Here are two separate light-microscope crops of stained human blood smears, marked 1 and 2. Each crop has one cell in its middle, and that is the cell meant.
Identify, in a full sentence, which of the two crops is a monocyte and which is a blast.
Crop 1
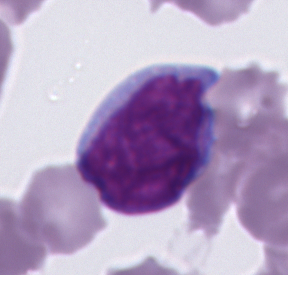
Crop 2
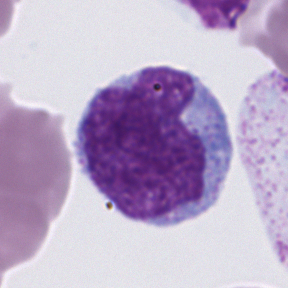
Well, crop 1 is a blast, and crop 2 is a monocyte.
